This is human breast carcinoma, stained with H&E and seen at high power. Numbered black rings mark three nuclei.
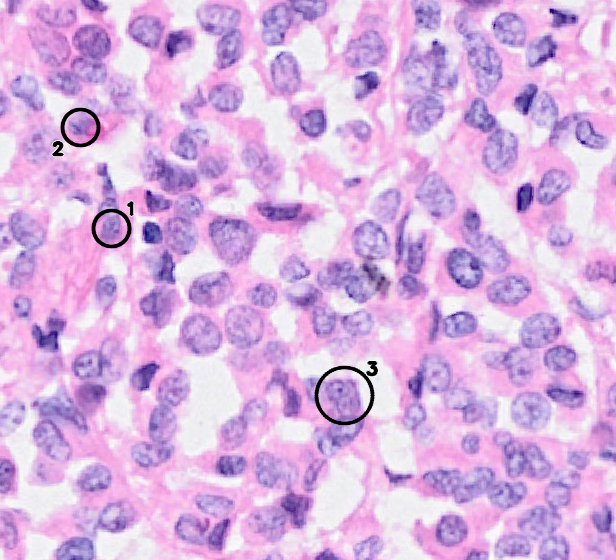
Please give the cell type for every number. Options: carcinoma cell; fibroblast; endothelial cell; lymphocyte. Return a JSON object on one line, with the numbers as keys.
{"1": "endothelial cell", "2": "endothelial cell", "3": "carcinoma cell"}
